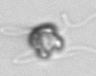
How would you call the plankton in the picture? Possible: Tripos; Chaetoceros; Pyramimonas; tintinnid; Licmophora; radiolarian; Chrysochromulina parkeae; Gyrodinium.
I would call it Pyramimonas.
